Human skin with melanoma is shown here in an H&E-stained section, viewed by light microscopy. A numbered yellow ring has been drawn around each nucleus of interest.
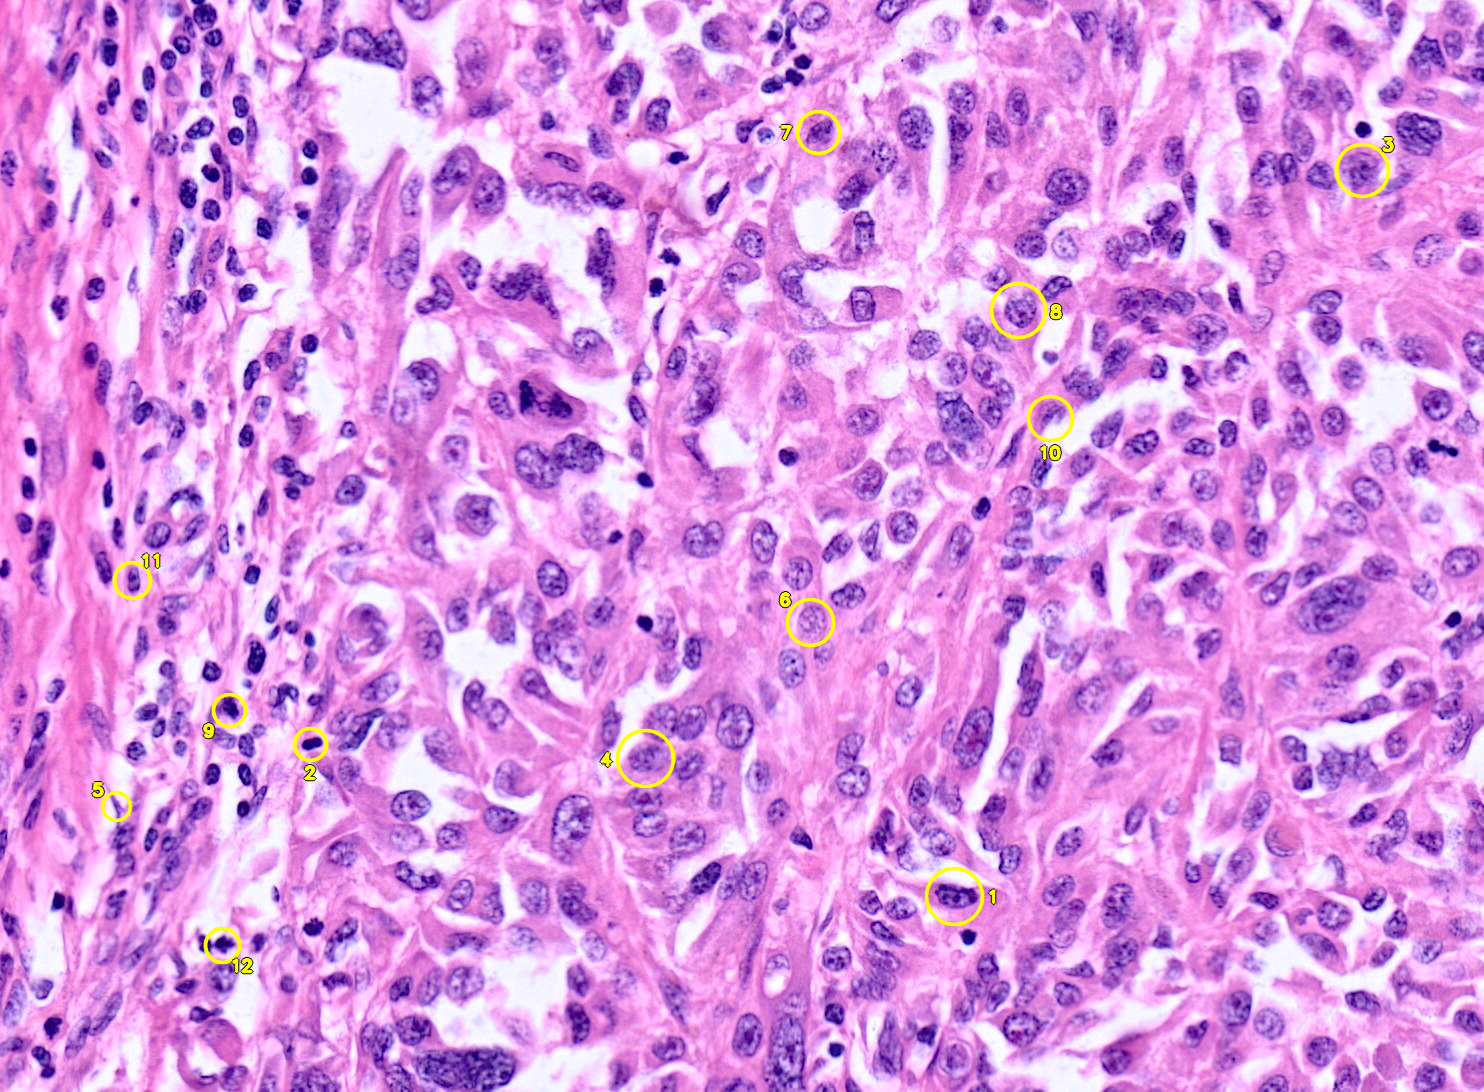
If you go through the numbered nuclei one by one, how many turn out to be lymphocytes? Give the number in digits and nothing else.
3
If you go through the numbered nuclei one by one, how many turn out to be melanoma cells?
7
